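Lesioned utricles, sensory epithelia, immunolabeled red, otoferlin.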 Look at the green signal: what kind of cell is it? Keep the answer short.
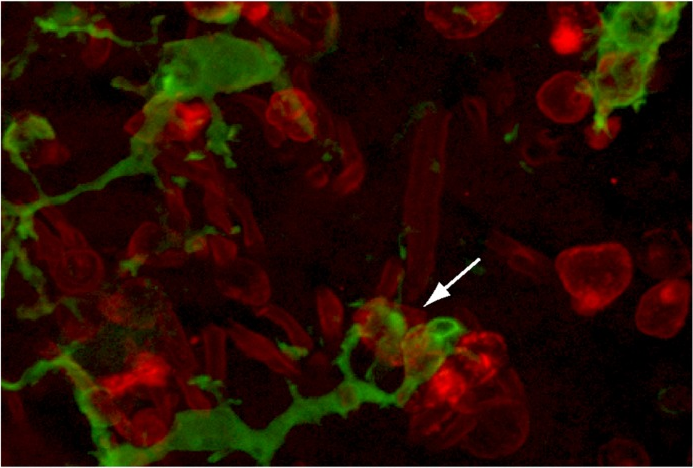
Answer: macrophages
